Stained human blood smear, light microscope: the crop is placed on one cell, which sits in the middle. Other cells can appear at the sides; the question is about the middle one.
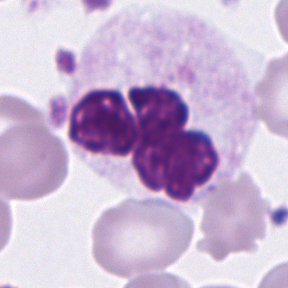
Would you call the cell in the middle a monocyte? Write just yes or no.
no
